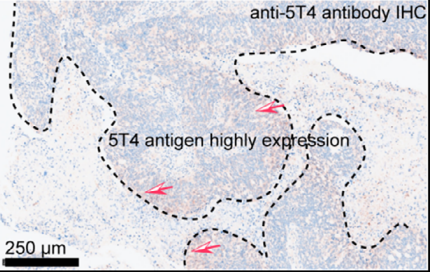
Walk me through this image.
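Within the outline the tissue shows a faint to moderate brown tint among many blue nuclei. The surrounding tissue outside the outline is looser and paler, with a bluish to whitish look. A smaller outlined region near the lower edge also shows brown tint. Red arrows mark brown-tinted areas.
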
